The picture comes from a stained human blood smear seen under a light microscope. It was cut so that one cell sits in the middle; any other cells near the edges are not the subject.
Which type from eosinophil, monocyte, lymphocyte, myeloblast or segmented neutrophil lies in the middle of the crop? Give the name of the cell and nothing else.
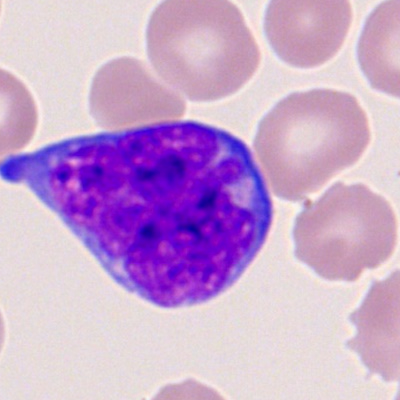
myeloblast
